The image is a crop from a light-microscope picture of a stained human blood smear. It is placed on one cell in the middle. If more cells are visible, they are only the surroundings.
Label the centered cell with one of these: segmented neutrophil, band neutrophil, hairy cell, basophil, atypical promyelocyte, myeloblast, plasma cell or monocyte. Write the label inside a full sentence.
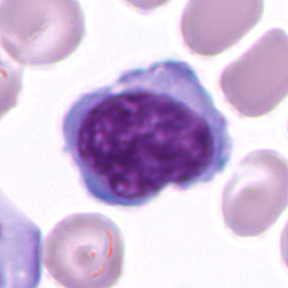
In the centre of this crop there is a plasma cell.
